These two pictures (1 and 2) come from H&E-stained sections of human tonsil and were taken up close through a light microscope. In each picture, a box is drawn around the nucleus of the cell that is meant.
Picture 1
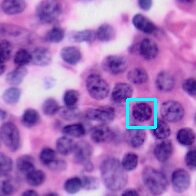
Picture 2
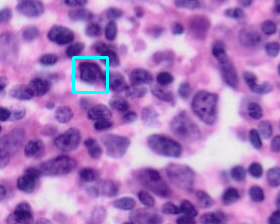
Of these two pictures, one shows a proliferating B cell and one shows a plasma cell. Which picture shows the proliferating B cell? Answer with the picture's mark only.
2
